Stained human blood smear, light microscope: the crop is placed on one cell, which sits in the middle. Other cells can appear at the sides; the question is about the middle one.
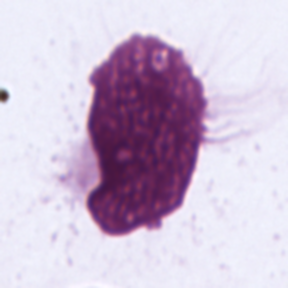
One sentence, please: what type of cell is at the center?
The cell occupying the middle of the crop is a smudge cell.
